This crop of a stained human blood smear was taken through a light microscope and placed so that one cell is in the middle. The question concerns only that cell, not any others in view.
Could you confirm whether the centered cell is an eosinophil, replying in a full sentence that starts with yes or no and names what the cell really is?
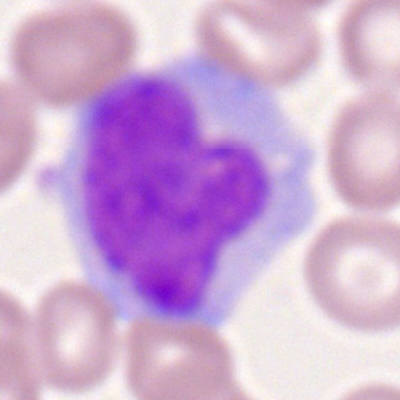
No, at the centre of this crop is found a monocyte instead of an eosinophil.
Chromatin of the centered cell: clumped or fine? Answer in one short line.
In this cell the chromatin is fine rather than coarsely clumped.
